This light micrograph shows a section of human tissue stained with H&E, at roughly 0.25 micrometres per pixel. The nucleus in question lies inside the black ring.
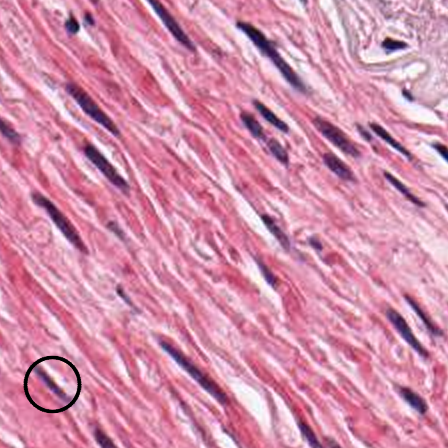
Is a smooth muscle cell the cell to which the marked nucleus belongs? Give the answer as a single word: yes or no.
yes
